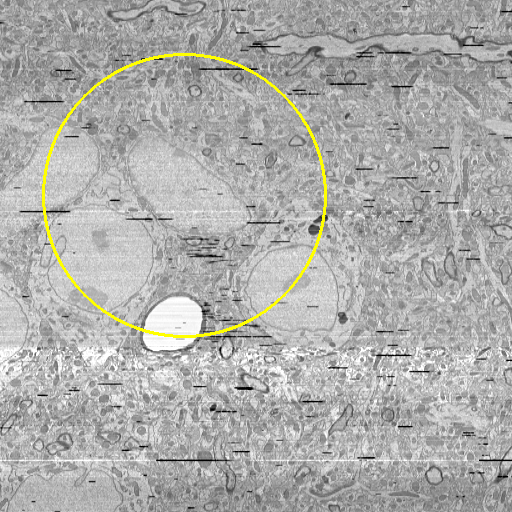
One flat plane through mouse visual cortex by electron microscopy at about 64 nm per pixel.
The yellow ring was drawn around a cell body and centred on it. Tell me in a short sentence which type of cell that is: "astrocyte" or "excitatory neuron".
The cell at the ring's centre is an astrocyte.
